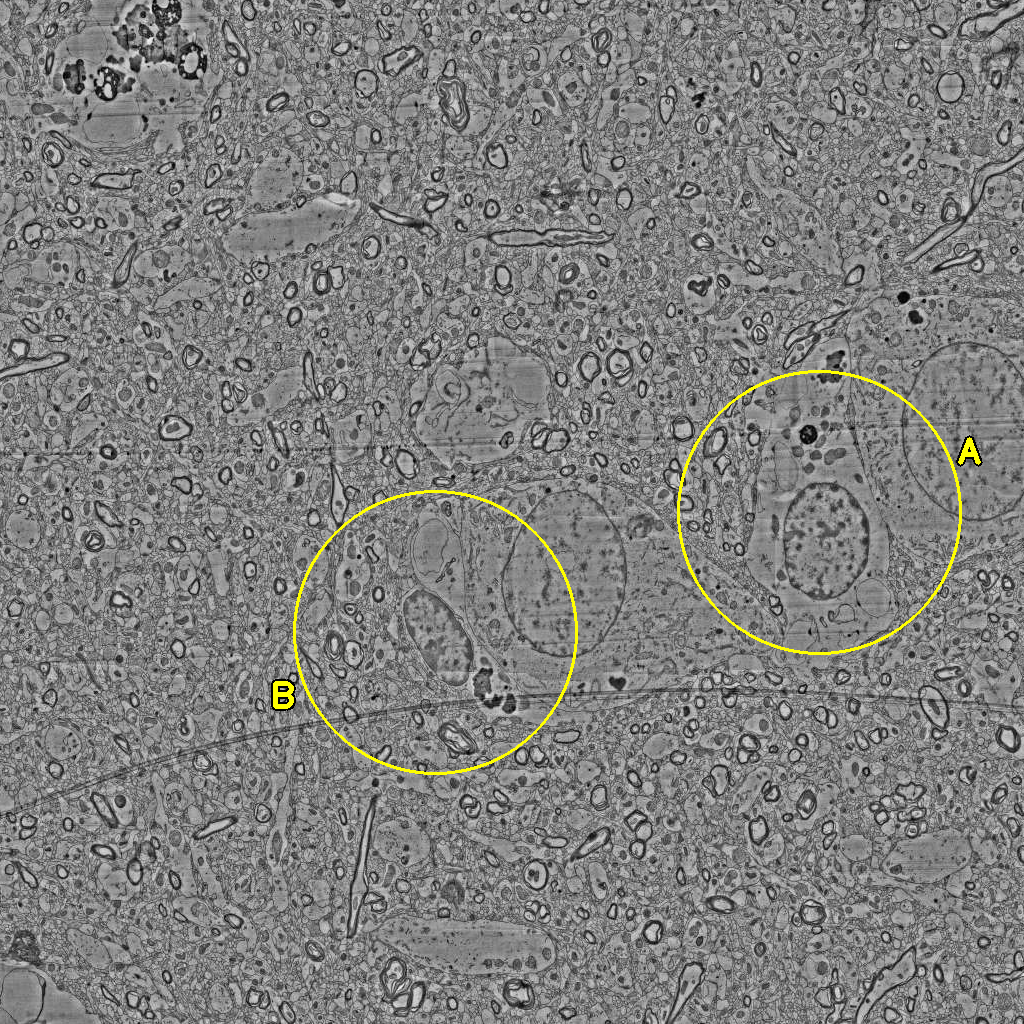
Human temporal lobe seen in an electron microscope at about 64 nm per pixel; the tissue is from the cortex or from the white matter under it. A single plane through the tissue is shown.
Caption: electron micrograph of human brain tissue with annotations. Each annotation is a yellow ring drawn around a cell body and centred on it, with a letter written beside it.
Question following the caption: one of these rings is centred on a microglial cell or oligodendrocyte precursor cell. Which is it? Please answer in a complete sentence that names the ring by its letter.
The ring with the letter B is centred on it.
